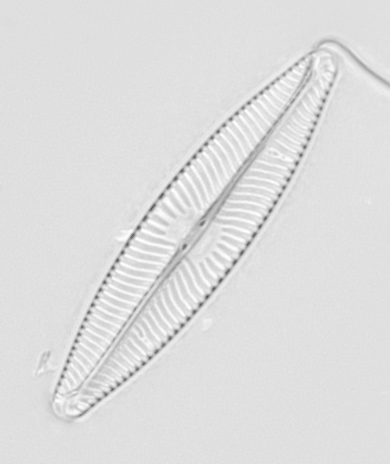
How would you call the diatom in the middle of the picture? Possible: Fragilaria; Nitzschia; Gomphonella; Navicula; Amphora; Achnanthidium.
I would call it Navicula.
